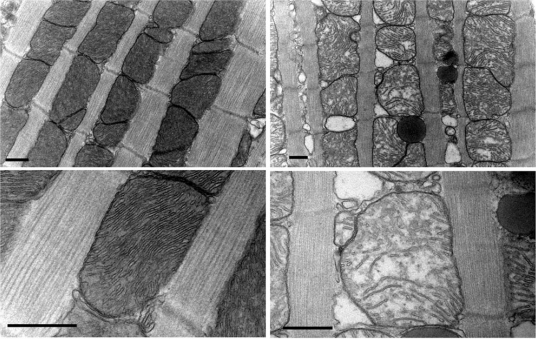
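Heart muscle cells, seen by transmission electron microscopy, with striated myofibrils running in parallel and rows of mitochondria lying between them. In the left images the mitochondria are dark and tightly packed with closely stacked cristae. In the right images the mitochondria are enlarged and pale, with sparse, disordered cristae, and there are clear empty spaces and dark round bodies among them.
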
